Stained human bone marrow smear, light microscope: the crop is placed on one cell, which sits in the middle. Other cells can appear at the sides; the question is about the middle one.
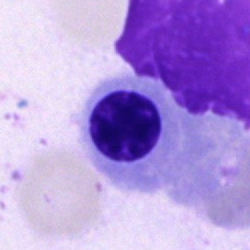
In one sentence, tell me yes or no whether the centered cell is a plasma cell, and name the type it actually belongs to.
No, in the middle of the crop there is an erythroblast rather than a plasma cell.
